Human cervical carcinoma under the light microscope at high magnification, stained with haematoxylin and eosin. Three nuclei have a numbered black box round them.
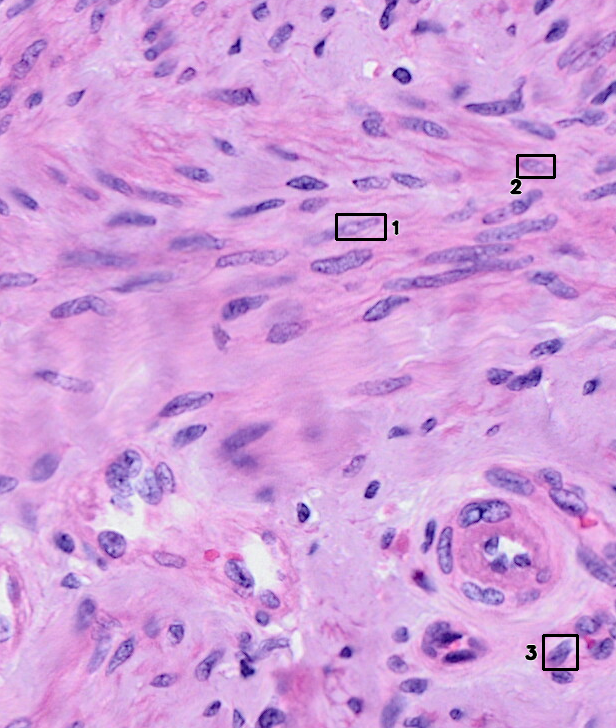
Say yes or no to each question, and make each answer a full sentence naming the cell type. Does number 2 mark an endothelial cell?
No, it is a smooth muscle cell, rather than an endothelial cell, that carries number 2.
